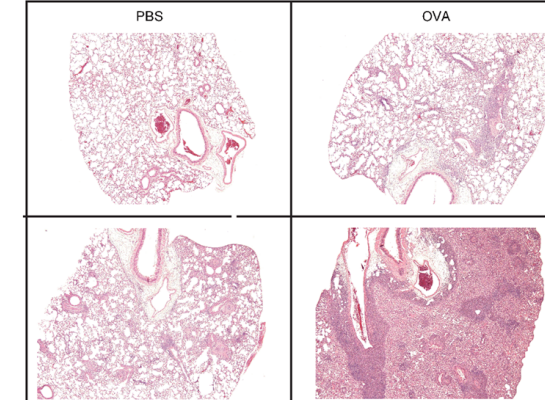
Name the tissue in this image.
Lung tissue.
